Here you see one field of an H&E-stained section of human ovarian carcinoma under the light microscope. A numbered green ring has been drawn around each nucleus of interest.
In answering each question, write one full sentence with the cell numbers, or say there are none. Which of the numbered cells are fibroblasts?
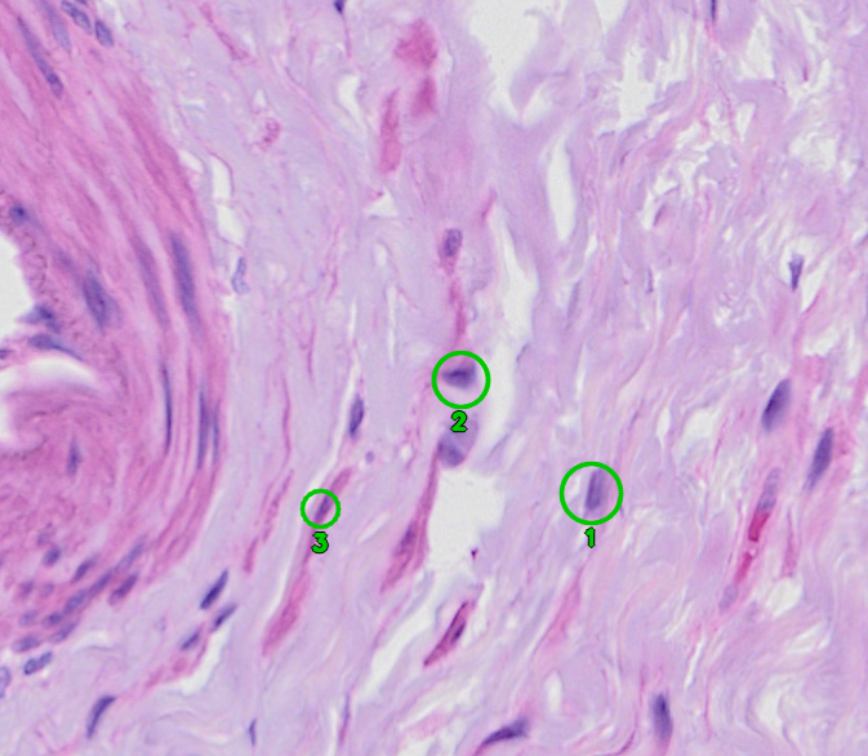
The cells referred to by numbers 1 and 2 are fibroblasts.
